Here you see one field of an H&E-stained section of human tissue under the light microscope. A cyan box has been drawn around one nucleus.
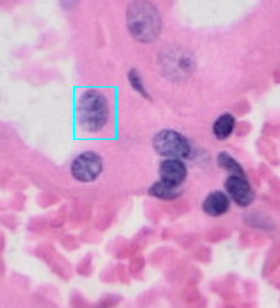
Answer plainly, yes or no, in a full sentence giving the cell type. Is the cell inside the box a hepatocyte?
No, it is as a loop of Henle or distal tubule cell, not a hepatocyte, that the cell inside the box is classified.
